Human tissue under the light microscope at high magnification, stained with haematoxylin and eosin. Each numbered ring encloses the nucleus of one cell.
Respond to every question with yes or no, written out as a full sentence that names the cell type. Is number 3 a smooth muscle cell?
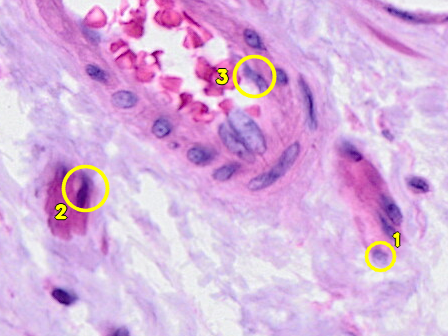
No, cell number 3 is identified as an endothelial cell, not as a smooth muscle cell.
